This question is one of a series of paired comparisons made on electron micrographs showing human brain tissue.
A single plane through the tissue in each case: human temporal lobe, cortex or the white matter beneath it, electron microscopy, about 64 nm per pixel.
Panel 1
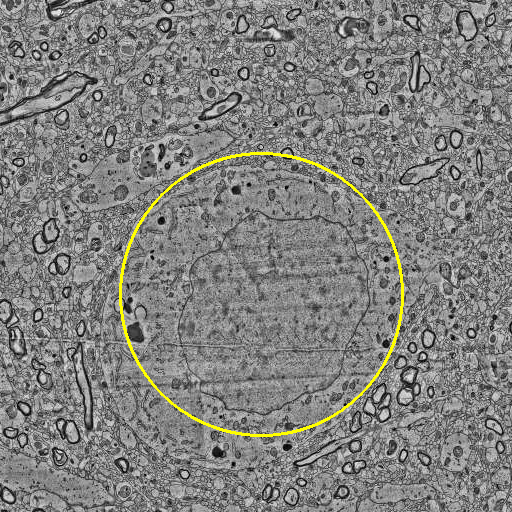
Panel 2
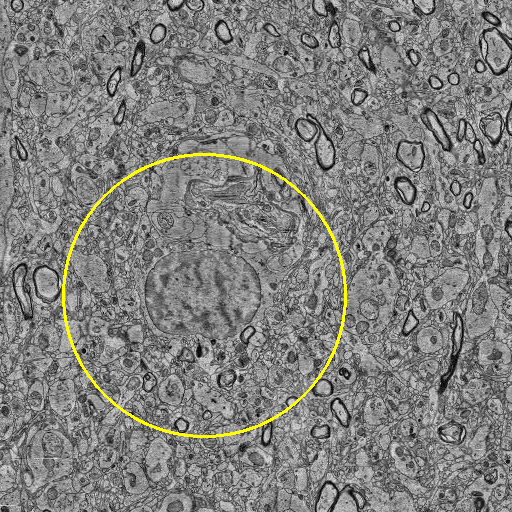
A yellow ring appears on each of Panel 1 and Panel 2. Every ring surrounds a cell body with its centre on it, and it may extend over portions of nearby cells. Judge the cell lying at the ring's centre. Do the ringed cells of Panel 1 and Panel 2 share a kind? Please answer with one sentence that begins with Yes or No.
No, the ring-centre cell in Panel 1 and the one in Panel 2 are of two kinds.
